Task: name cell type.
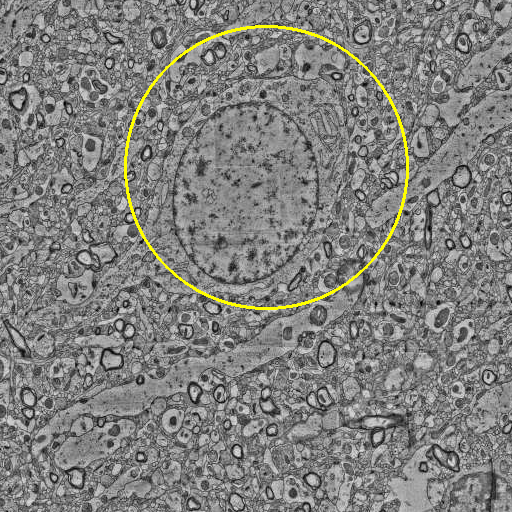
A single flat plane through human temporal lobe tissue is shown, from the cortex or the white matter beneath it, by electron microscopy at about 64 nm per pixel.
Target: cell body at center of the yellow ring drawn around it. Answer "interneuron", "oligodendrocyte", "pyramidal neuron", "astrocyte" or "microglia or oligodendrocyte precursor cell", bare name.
interneuron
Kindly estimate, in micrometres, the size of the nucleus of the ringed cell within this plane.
In this plane, roughly 12 by 9 micrometres.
